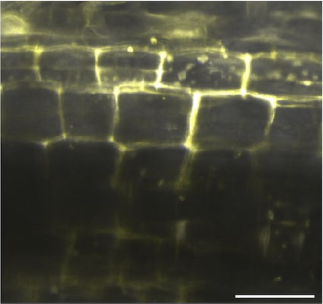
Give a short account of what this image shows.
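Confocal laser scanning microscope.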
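Rectangular root cells are stacked in regular files, their borders traced by bright yellow lines of varying strength. The cell interiors are largely dark, with a fainter yellow haze in cells toward the lower part of the field. A few small yellow dots and blobs sit along the upper cell files.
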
